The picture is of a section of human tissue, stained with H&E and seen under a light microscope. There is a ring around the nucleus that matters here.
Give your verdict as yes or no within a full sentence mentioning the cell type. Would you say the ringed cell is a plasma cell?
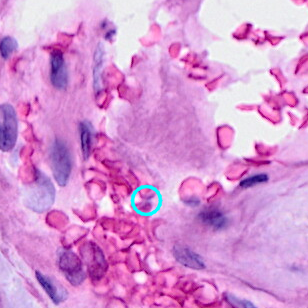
No, the ringed cell is not a plasma cell; the correct answer is an endothelial cell.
